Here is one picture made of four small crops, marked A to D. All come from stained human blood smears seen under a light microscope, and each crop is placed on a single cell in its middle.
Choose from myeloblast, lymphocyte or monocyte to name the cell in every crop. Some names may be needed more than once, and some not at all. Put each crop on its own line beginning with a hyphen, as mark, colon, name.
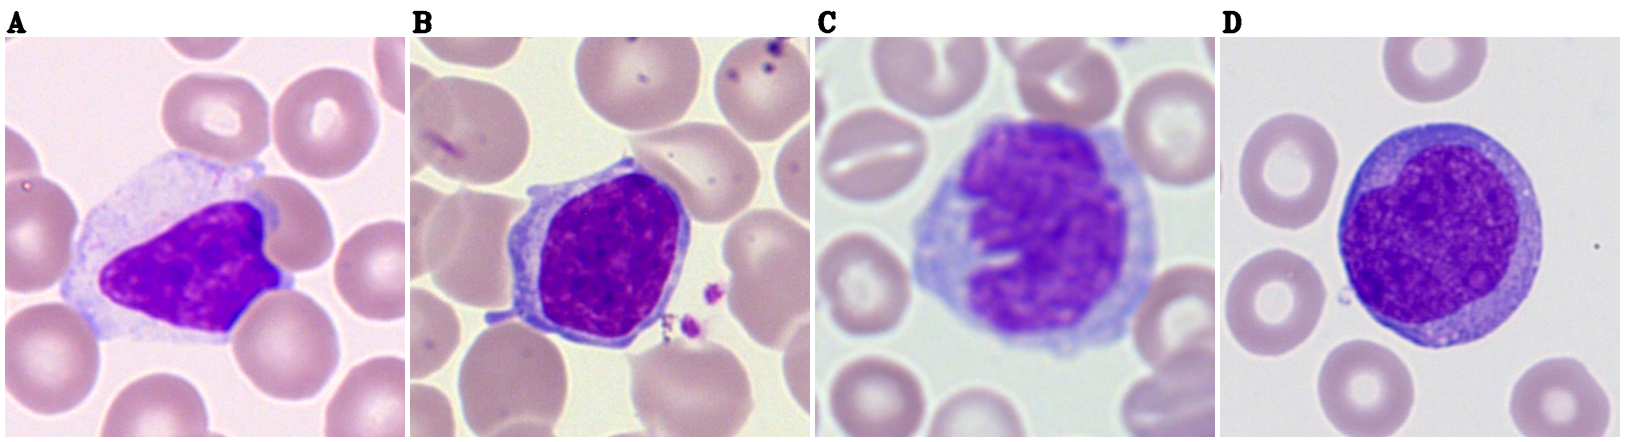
- A: lymphocyte
- B: lymphocyte
- C: monocyte
- D: myeloblast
